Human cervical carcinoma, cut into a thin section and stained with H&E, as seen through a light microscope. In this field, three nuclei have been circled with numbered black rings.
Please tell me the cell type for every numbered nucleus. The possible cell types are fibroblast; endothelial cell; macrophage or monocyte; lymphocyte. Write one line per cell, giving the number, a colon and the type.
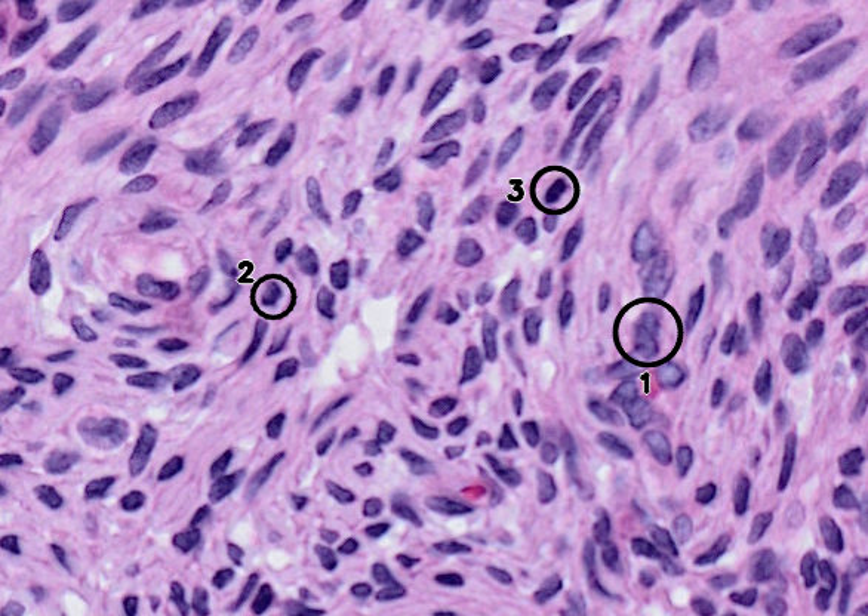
1: endothelial cell
2: fibroblast
3: lymphocyte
